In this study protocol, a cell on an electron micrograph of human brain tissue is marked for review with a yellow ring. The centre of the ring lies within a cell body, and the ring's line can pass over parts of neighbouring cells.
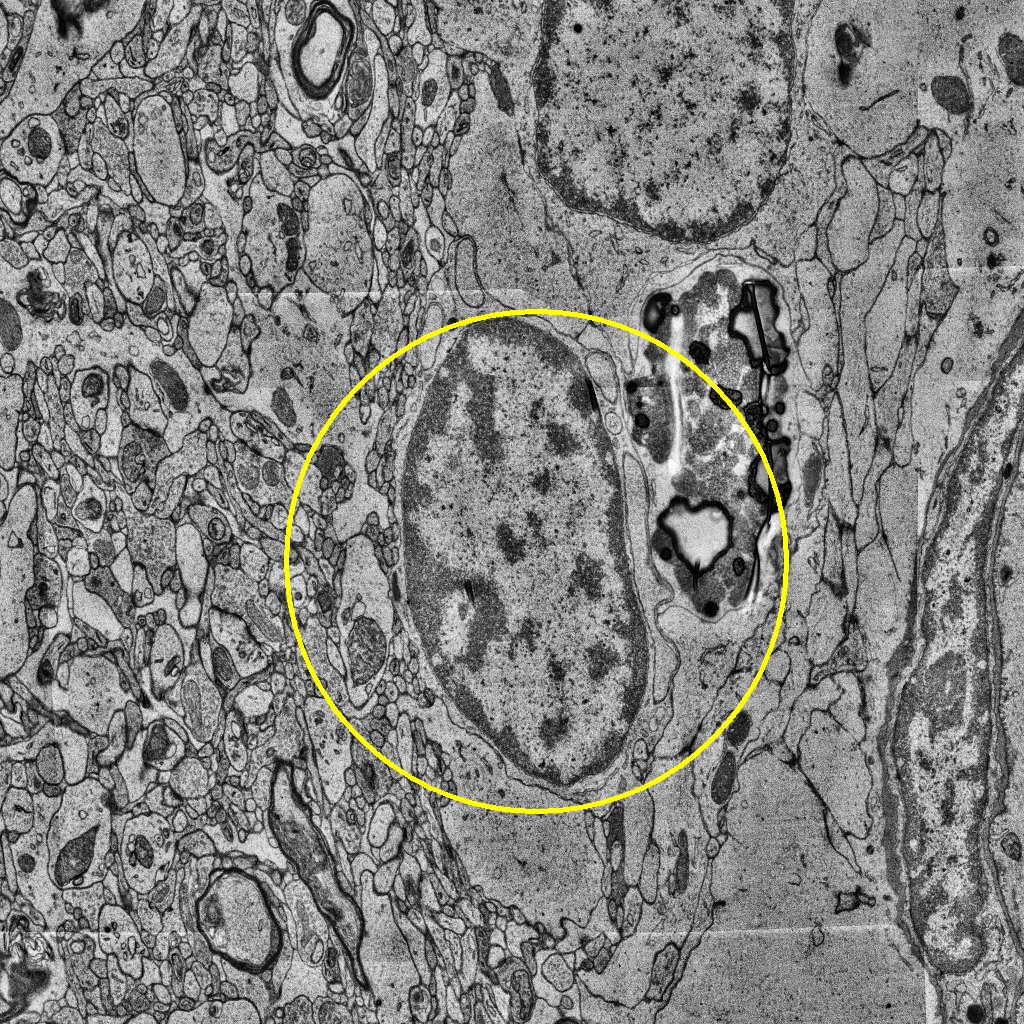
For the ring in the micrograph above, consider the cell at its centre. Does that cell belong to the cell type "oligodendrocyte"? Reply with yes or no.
no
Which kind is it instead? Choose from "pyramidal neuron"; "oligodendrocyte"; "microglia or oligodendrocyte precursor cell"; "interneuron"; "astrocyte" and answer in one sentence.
What the ring encloses here is a microglial cell or oligodendrocyte precursor cell.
